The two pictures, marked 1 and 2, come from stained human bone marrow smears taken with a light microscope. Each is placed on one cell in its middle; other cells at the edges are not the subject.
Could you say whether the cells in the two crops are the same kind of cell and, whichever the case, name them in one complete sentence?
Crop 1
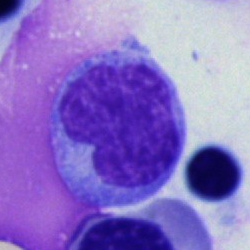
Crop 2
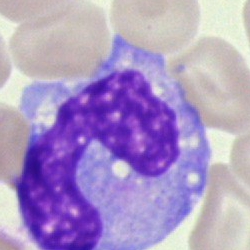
Yes, they do, both crops show monocytes.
